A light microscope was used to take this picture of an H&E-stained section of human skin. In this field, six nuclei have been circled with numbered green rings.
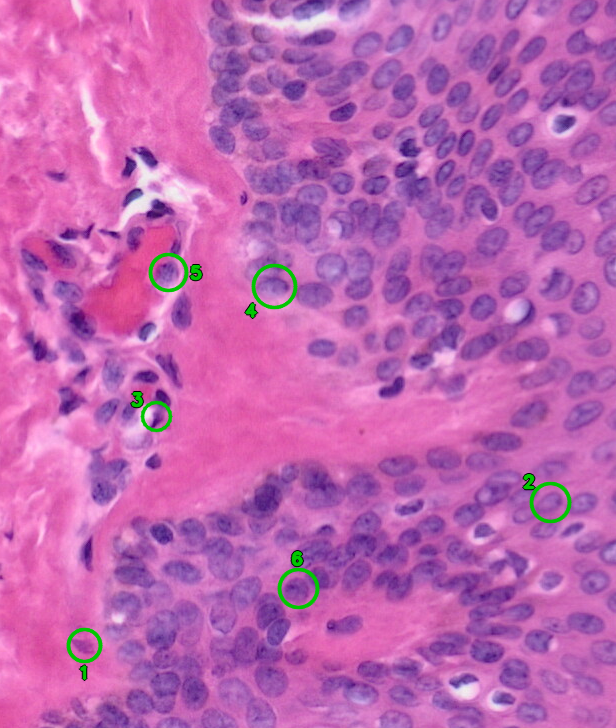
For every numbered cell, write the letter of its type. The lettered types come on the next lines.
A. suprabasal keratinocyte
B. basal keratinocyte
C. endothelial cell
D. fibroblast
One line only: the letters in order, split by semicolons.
D; A; C; B; C; B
